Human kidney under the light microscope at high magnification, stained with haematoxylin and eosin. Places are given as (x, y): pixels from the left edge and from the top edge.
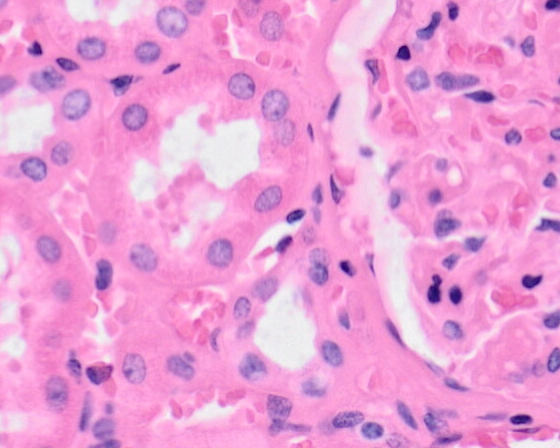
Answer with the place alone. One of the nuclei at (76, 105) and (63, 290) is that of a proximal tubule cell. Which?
(63, 290)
